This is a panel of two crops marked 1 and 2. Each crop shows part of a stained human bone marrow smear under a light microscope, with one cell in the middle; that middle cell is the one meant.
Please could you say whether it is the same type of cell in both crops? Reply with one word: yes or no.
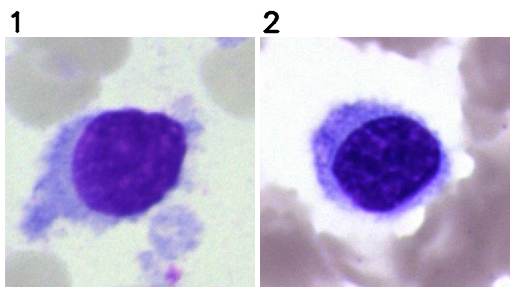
yes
